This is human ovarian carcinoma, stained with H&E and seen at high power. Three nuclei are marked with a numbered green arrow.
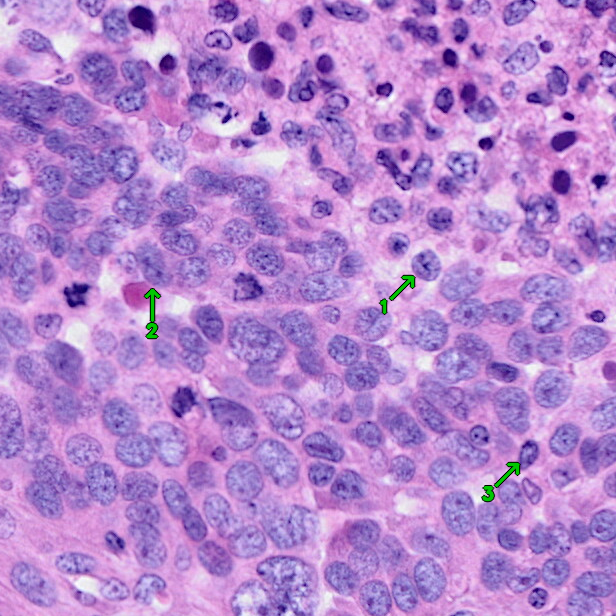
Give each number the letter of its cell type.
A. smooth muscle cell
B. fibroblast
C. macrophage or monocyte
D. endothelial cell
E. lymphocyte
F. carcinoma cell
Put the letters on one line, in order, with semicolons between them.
C; F; C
